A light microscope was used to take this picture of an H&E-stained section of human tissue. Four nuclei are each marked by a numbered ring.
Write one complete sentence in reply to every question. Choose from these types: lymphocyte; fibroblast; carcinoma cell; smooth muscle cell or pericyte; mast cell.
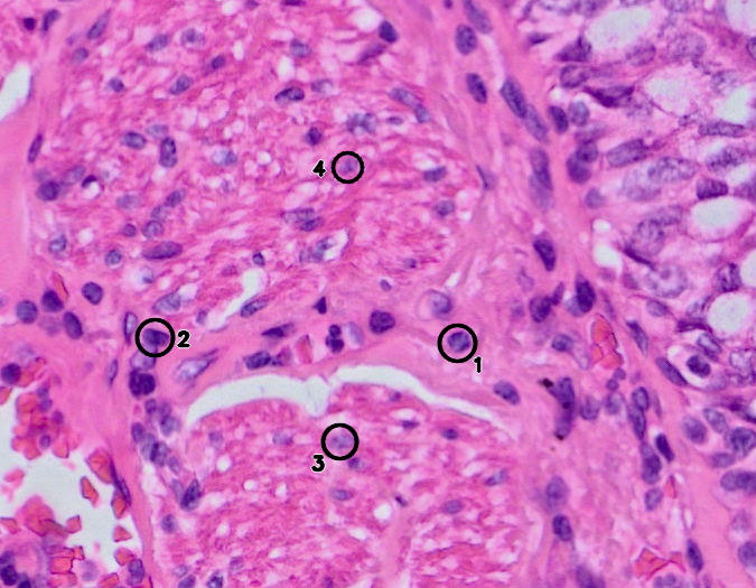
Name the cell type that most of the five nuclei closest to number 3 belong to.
The majority of the five nuclei closest to number 3 belong to smooth muscle cells or pericytes.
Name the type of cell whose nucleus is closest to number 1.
Closest to number 1 lies the nucleus of a fibroblast.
